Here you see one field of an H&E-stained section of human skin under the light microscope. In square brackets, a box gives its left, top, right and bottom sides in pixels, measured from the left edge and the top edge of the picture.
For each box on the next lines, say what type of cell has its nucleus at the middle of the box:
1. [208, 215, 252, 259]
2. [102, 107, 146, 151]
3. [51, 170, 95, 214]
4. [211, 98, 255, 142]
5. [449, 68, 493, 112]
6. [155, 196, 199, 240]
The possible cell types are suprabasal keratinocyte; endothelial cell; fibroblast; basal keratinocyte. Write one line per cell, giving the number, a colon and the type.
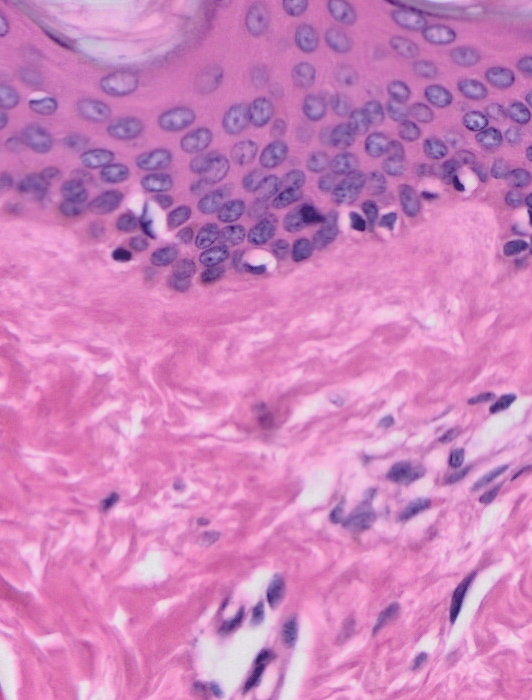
1: basal keratinocyte
2: suprabasal keratinocyte
3: basal keratinocyte
4: suprabasal keratinocyte
5: suprabasal keratinocyte
6: basal keratinocyte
